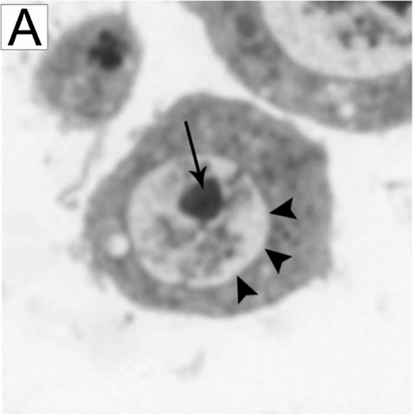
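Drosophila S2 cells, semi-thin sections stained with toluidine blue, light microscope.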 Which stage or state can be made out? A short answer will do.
Interphase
